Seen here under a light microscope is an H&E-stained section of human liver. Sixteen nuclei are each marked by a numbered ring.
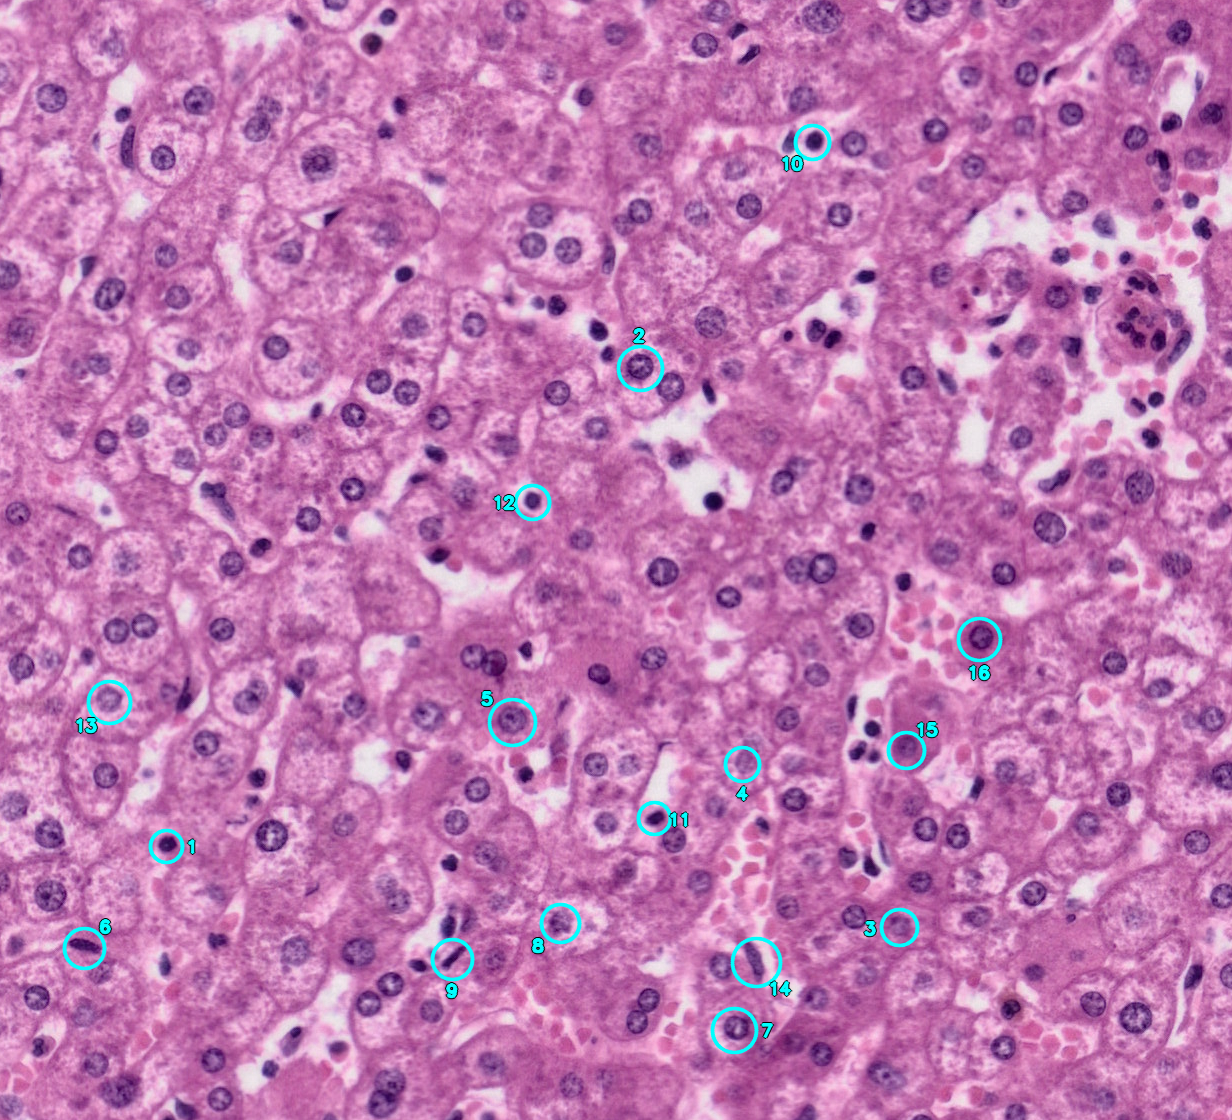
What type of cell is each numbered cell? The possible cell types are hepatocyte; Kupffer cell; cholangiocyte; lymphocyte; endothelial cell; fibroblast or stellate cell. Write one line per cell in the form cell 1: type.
cell 1: lymphocyte
cell 2: hepatocyte
cell 3: hepatocyte
cell 4: hepatocyte
cell 5: hepatocyte
cell 6: fibroblast or stellate cell
cell 7: hepatocyte
cell 8: hepatocyte
cell 9: fibroblast or stellate cell
cell 10: lymphocyte
cell 11: lymphocyte
cell 12: lymphocyte
cell 13: hepatocyte
cell 14: Kupffer cell
cell 15: hepatocyte
cell 16: hepatocyte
